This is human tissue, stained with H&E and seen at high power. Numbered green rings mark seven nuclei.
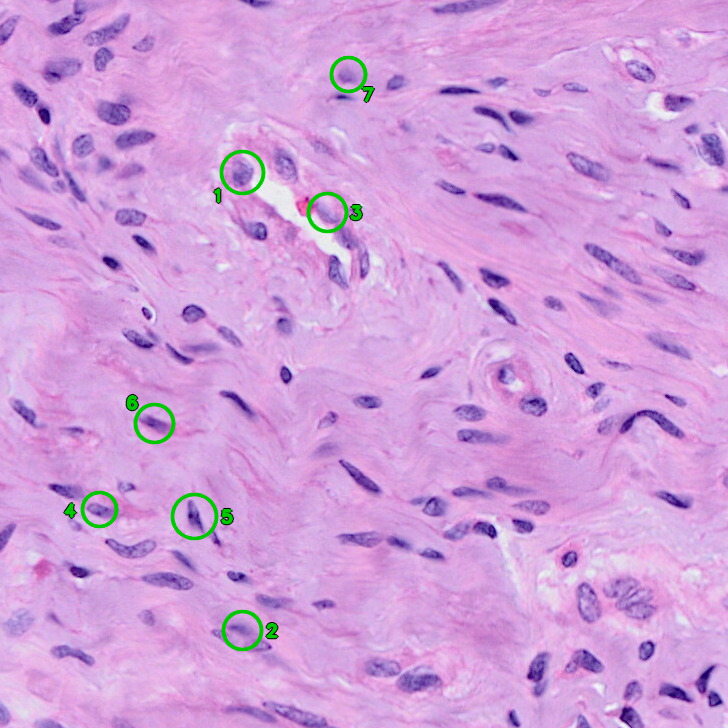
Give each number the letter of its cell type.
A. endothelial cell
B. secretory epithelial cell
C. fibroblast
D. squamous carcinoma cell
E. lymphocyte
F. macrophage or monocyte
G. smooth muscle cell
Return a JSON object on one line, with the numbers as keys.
{"1": "A", "2": "C", "3": "A", "4": "G", "5": "C", "6": "G", "7": "C"}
